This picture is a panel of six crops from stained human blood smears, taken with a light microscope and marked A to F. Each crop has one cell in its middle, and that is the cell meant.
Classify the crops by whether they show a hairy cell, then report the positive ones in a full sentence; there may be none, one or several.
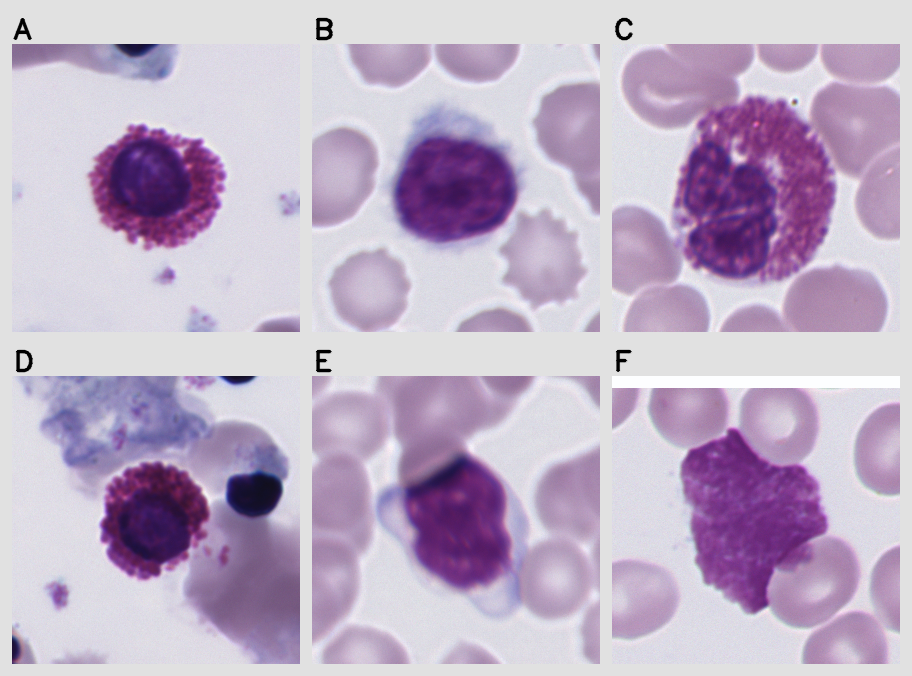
In short, a hairy cell is shown in crop B only.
